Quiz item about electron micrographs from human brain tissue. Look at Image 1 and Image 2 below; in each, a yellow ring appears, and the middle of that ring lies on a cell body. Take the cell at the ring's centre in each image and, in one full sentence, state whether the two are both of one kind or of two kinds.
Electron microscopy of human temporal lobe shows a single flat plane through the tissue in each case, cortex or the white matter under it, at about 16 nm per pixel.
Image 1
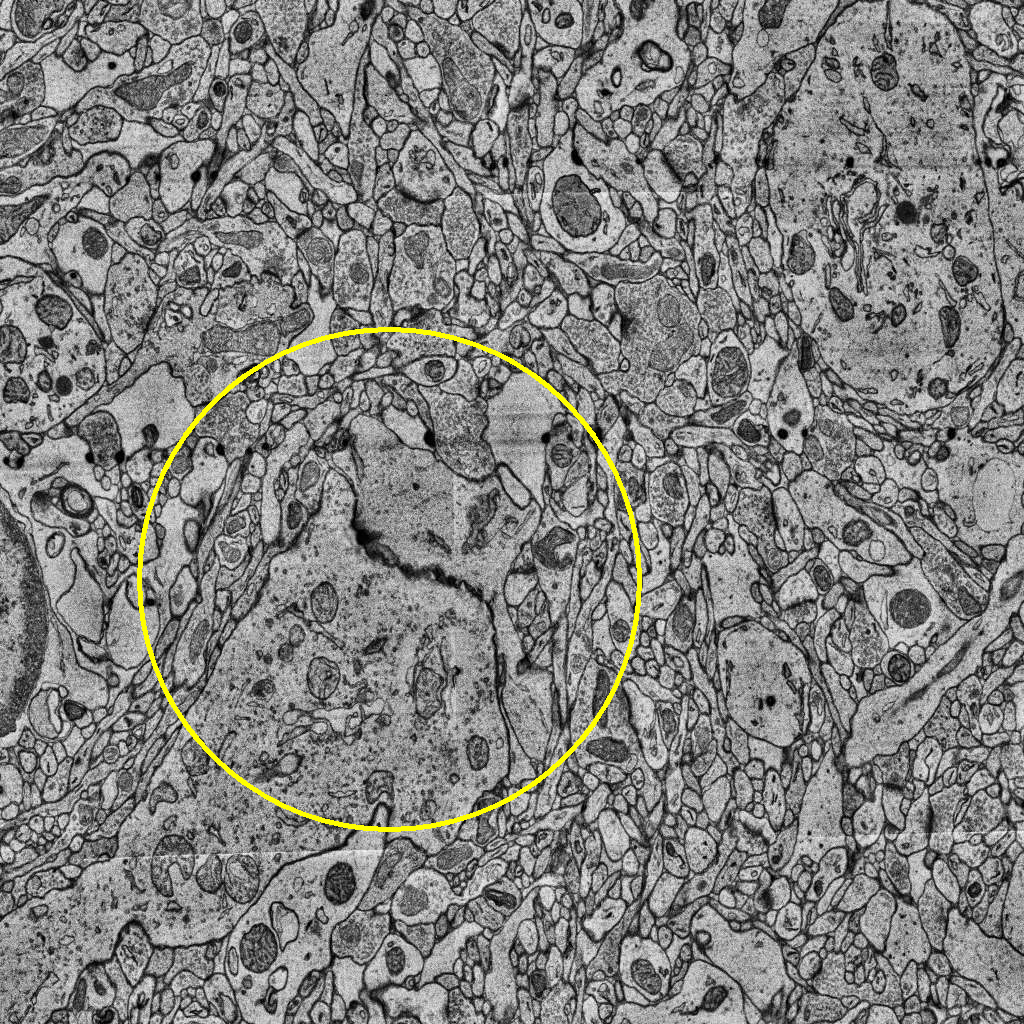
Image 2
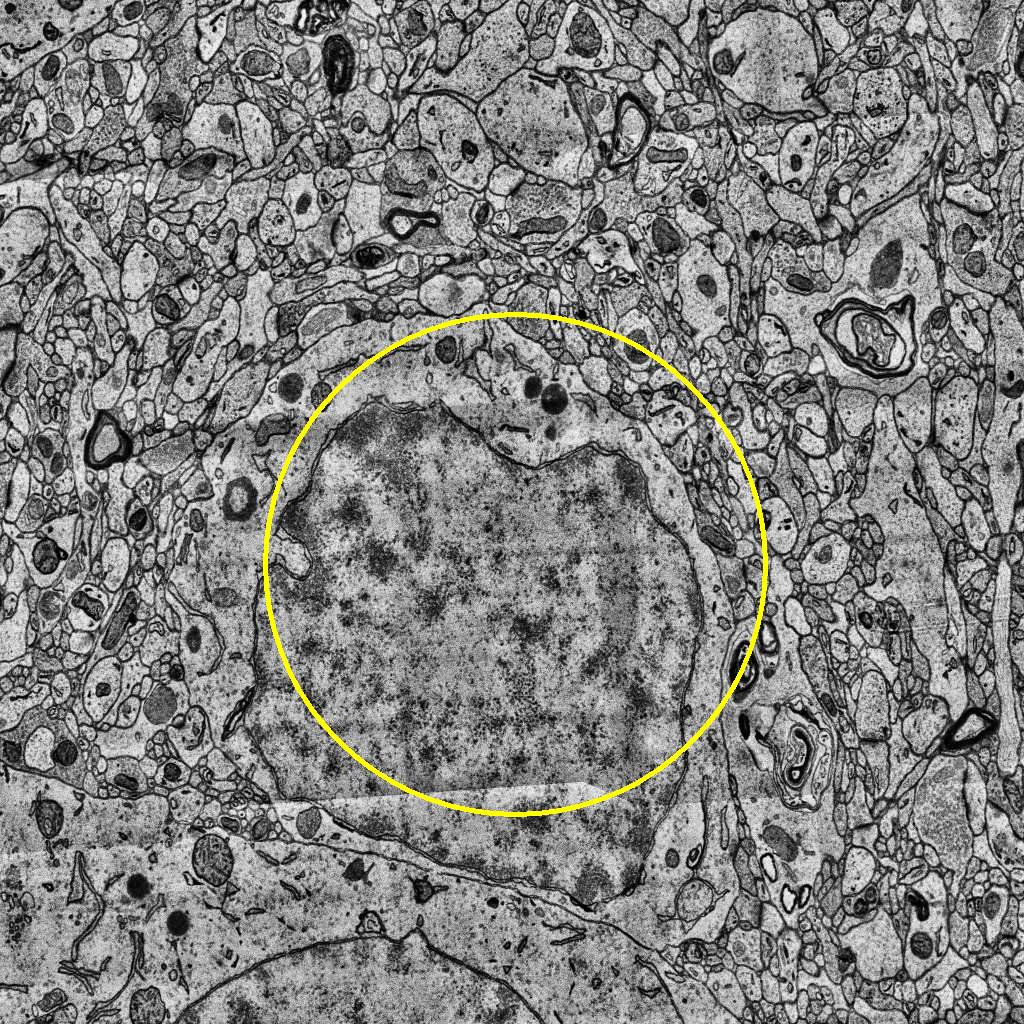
In Image 1 and Image 2, the cells at the ring centres are both of one kind.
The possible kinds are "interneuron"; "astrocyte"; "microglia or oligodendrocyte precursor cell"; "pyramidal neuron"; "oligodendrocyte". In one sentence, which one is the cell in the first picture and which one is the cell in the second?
Each of the two pictures has an interneuron at the ring centre.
